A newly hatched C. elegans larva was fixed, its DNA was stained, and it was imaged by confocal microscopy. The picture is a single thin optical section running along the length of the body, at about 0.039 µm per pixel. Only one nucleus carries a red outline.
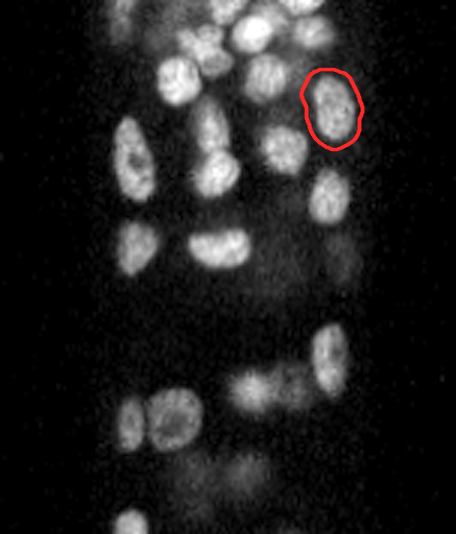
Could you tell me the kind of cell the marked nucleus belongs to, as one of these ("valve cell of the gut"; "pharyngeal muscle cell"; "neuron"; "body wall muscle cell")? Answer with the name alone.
body wall muscle cell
